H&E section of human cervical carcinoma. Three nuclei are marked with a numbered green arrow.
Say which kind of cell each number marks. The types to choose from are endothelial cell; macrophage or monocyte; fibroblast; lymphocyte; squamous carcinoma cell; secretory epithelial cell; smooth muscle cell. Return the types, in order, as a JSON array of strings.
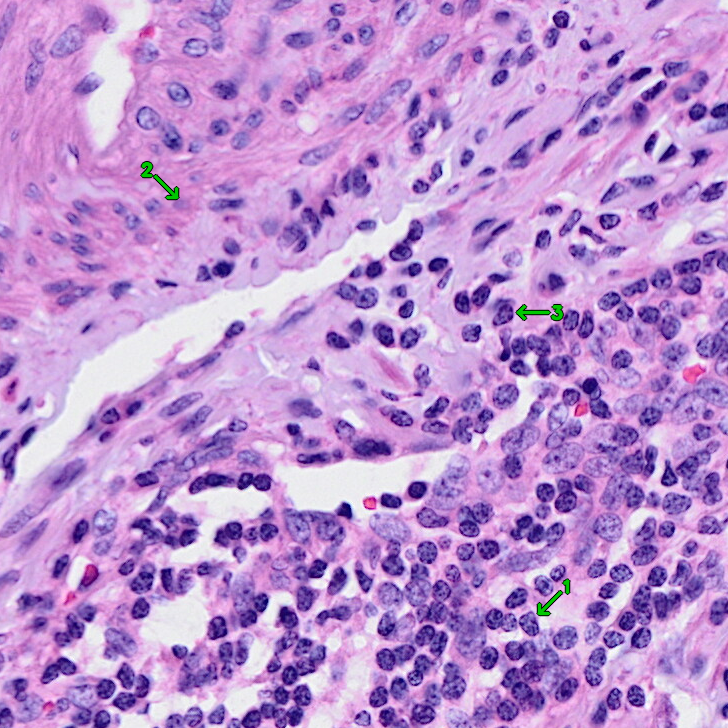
["lymphocyte", "smooth muscle cell", "lymphocyte"]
